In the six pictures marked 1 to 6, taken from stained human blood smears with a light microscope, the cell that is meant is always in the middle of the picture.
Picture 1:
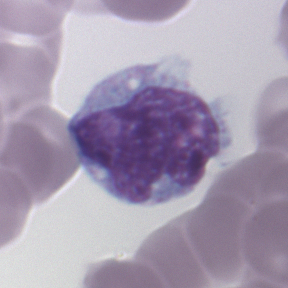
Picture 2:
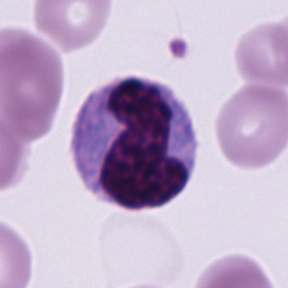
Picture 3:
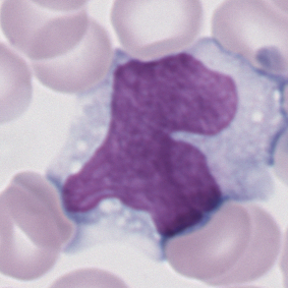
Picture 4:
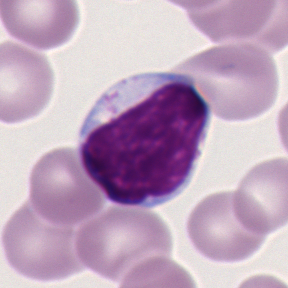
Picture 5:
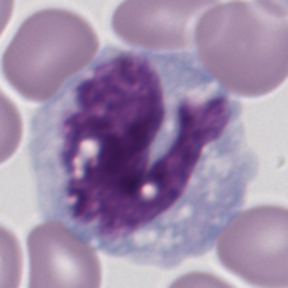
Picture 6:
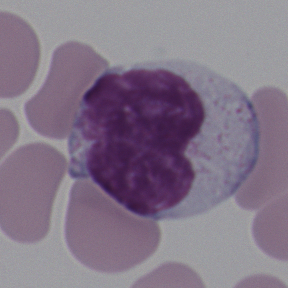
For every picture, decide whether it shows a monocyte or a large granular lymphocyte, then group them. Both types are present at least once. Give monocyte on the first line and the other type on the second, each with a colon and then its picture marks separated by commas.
monocyte: 1, 2, 3, 5
large granular lymphocyte: 4, 6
